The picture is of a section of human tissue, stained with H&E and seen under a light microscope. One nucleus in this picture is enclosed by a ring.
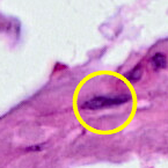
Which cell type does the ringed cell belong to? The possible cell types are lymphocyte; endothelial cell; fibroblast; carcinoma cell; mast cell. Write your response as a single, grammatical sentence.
In terms of identity, the ringed cell is a fibroblast.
